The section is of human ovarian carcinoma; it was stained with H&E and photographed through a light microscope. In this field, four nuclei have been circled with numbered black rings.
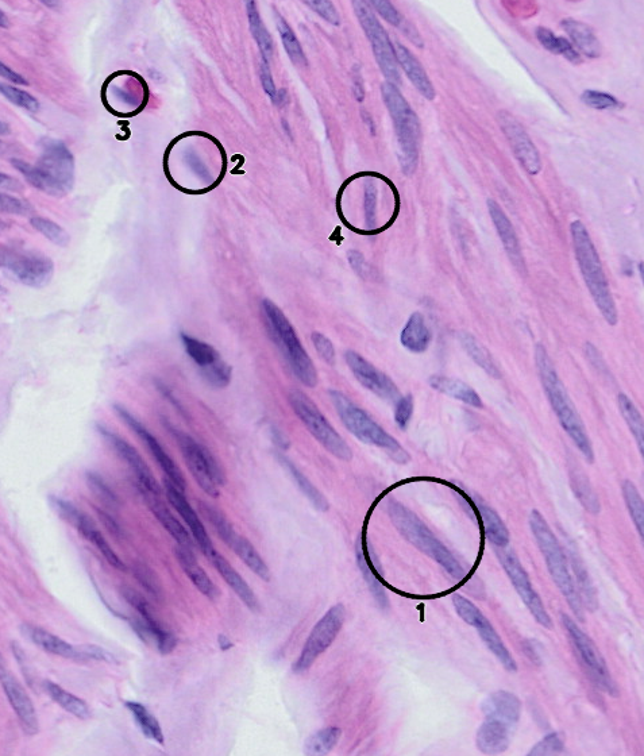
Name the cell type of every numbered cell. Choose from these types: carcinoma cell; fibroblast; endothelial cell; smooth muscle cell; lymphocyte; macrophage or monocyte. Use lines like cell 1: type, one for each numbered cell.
cell 1: smooth muscle cell
cell 2: smooth muscle cell
cell 3: endothelial cell
cell 4: smooth muscle cell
